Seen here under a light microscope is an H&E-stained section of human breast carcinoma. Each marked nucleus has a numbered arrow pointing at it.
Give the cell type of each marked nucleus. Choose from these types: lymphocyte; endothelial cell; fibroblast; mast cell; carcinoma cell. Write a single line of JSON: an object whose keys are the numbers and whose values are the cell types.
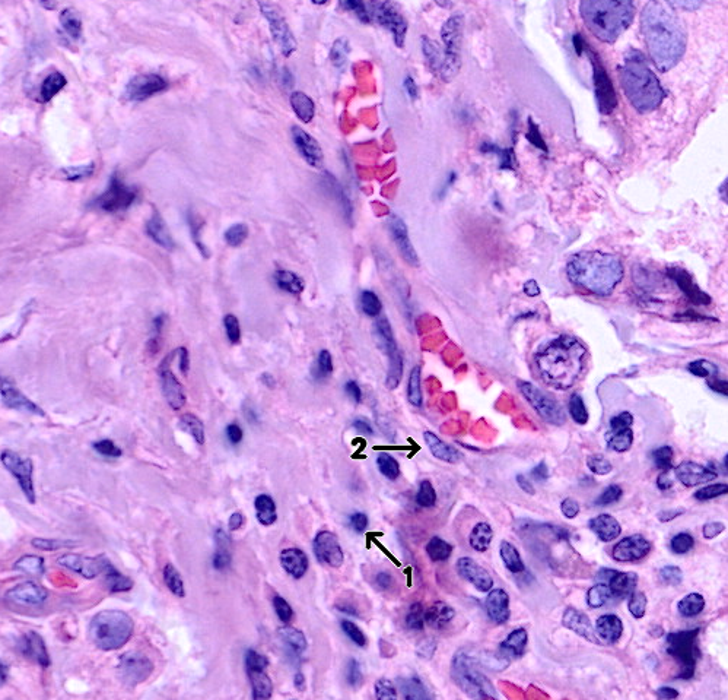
{"1": "lymphocyte", "2": "endothelial cell"}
